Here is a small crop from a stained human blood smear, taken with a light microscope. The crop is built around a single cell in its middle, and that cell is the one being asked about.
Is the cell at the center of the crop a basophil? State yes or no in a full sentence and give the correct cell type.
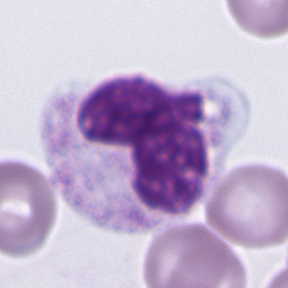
No, the cell at the centre is categorised not as a basophil but as a segmented neutrophil.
